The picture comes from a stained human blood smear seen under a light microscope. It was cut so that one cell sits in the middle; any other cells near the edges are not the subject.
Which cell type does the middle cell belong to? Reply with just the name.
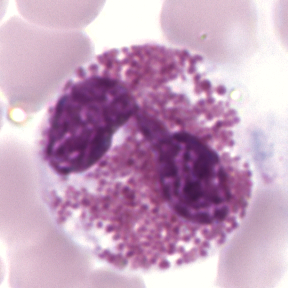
eosinophil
